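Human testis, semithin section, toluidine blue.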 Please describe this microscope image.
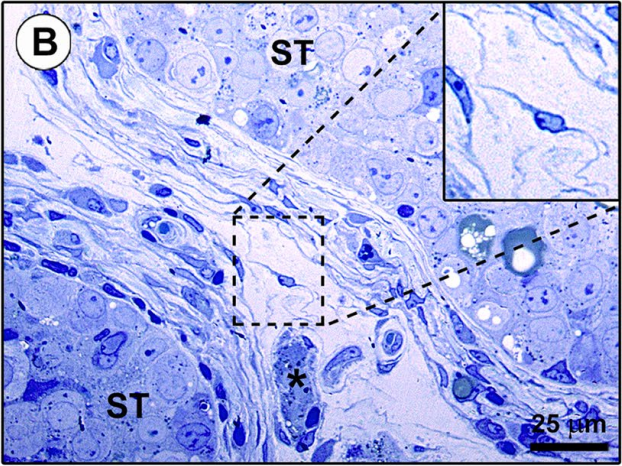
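Parts of two seminiferous tubules are separated by intertubular connective tissue in which slender spindle-shaped interstitial cells with dark elongated nuclei lie among pale fibres. The enlarged inset shows one such cell with a small cell body occupied mostly by its nucleus, from which two long, thin, beaded and convoluted processes extend in opposite directions. The tubules contain rounded germ cells with pale nuclei and scattered vacuoles, and a cluster of darker interstitial cells lies in the stroma below.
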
